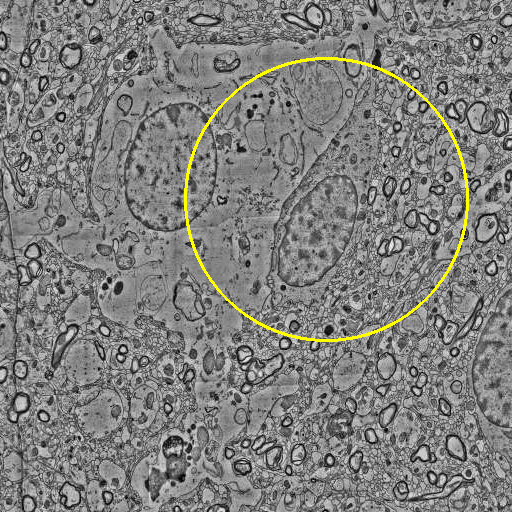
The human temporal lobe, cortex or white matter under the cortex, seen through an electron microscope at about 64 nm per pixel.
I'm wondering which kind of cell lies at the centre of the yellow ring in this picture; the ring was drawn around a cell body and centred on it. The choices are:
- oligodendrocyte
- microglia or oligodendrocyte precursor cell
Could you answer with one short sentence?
At the centre of the ring lies an oligodendrocyte.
